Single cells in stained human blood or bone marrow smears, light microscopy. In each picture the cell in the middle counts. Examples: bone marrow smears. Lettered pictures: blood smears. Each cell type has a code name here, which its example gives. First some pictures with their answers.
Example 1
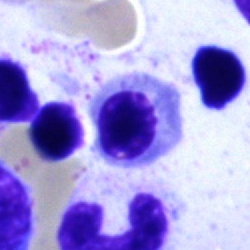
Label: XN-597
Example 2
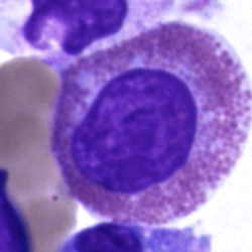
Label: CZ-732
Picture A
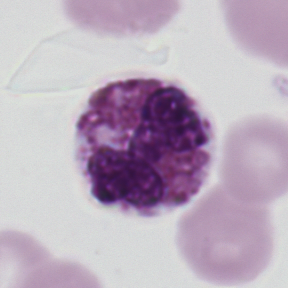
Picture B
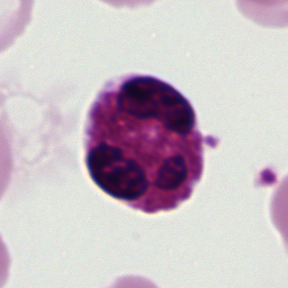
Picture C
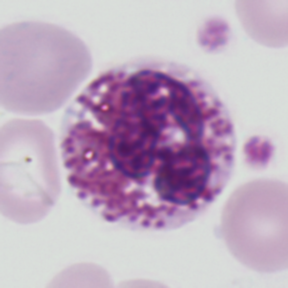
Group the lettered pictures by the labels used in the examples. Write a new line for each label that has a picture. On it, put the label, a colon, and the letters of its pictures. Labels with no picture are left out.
CZ-732: A, B, C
